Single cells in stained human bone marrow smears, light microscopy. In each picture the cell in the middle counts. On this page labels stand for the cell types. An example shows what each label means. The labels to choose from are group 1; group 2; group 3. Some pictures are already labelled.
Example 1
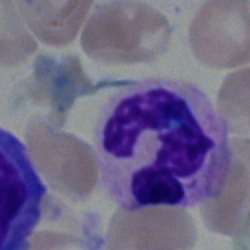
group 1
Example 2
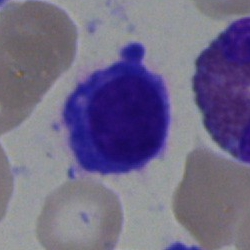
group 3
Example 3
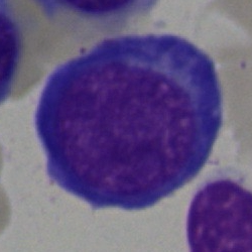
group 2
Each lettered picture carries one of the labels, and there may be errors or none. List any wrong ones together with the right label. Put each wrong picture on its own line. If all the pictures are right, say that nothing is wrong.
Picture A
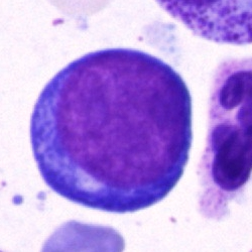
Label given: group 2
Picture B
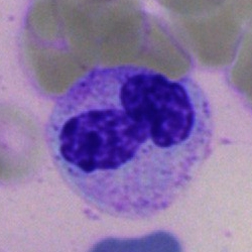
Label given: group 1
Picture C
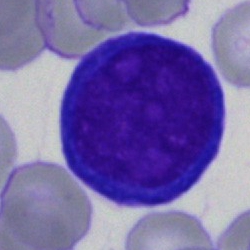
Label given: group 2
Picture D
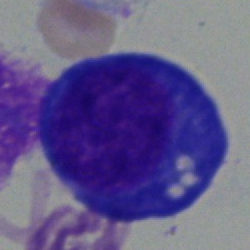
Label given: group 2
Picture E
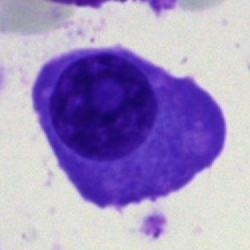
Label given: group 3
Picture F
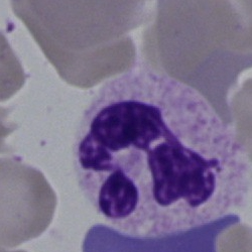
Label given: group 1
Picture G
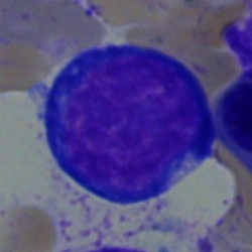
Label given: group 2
No label is wrong.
